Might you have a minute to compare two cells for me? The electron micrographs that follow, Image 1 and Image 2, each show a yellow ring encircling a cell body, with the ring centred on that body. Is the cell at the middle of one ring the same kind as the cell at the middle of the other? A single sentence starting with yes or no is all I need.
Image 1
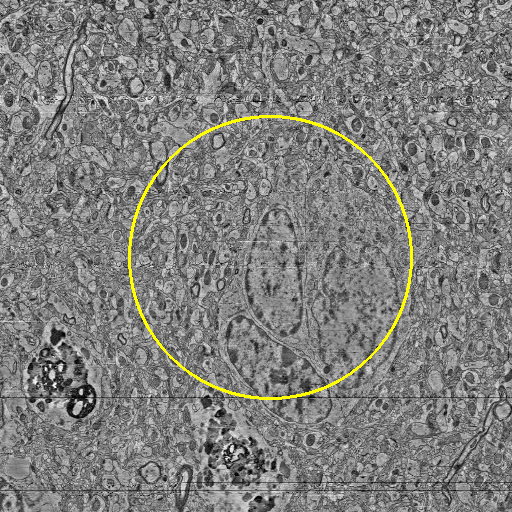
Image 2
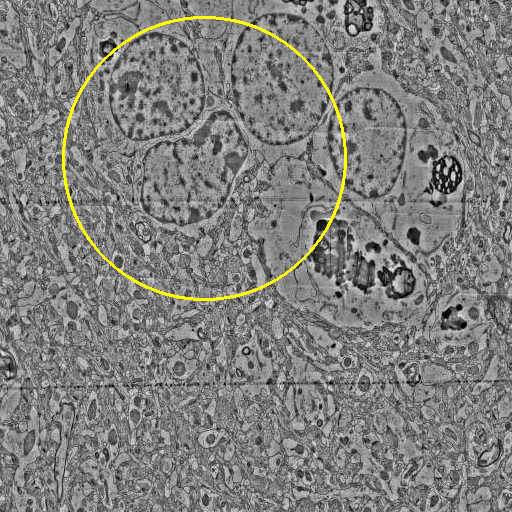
Yes, the cells in the middle of the two rings are of one shared kind.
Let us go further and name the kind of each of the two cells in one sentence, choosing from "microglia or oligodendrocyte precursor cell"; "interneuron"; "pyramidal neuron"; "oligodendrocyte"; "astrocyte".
In each picture the ringed cell is a microglial cell or oligodendrocyte precursor cell.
